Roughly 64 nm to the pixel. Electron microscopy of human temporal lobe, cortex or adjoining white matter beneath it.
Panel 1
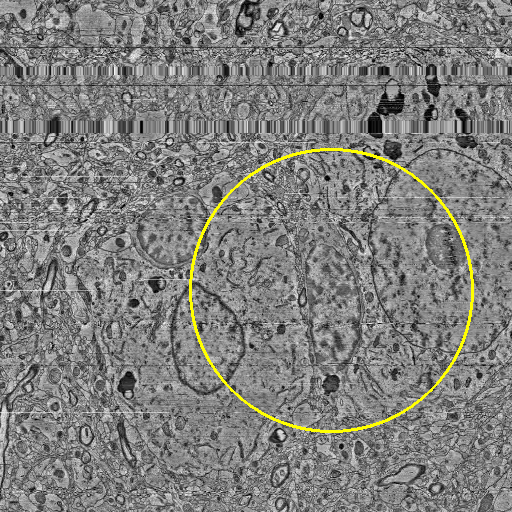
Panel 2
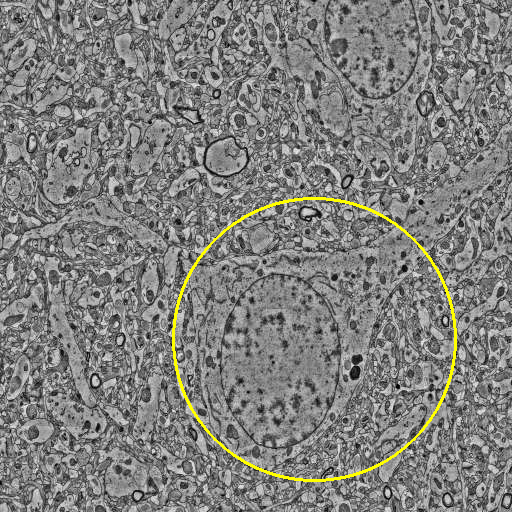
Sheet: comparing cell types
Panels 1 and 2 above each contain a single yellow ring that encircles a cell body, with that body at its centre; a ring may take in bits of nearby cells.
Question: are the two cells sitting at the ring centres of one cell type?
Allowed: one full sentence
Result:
No, the ring-centre cells in Panel 1 and Panel 2 are of two types.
